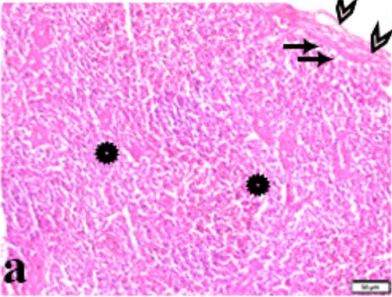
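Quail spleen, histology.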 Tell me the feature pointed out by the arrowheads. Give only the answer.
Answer: capsule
